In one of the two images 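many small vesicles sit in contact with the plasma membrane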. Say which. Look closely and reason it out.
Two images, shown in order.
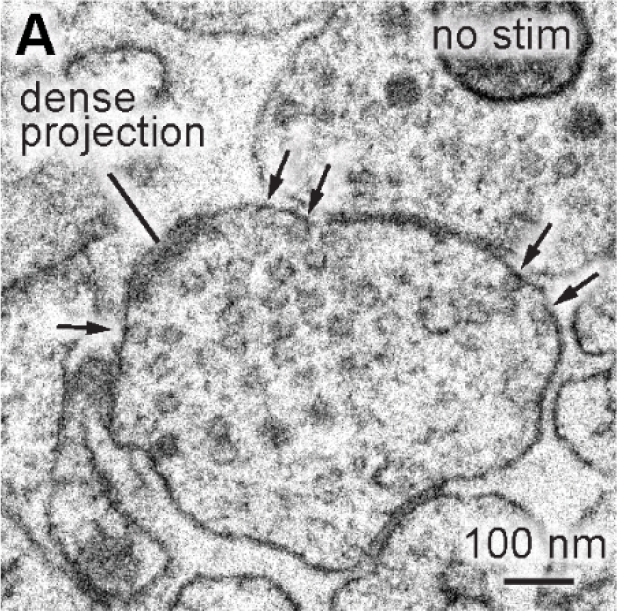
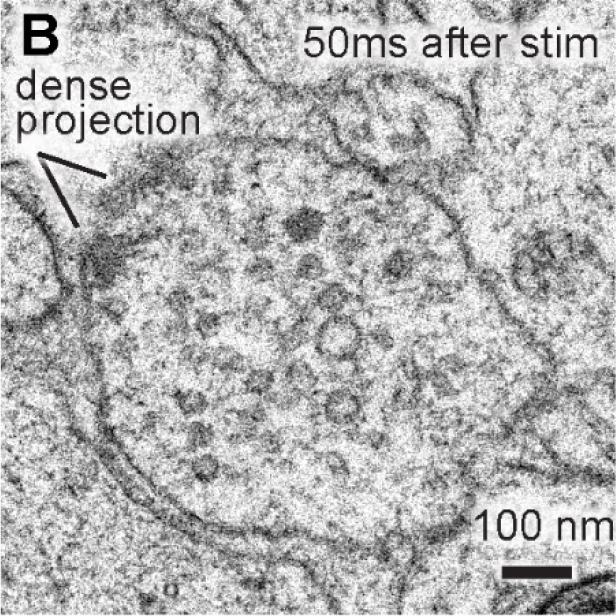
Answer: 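Second image: the small clear vesicles lie mostly in the interior, few touch the membrane. First image: several small clear vesicles lie against the membrane at the arrows. So: the first image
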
